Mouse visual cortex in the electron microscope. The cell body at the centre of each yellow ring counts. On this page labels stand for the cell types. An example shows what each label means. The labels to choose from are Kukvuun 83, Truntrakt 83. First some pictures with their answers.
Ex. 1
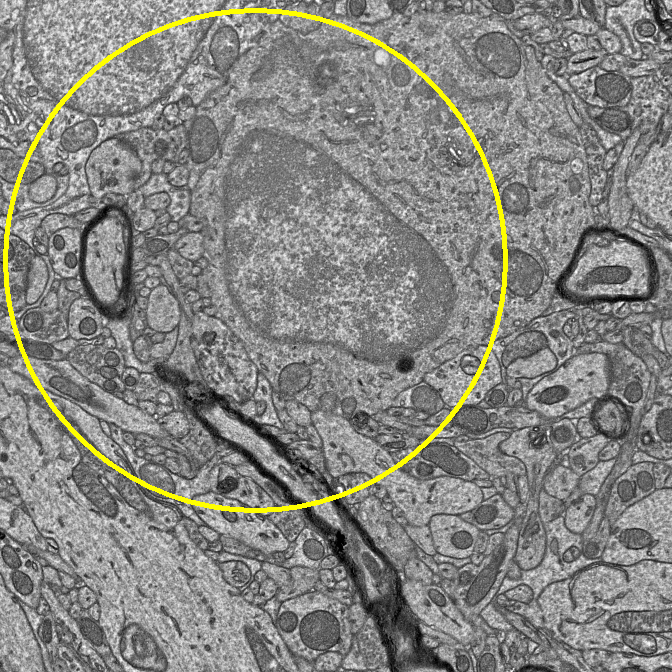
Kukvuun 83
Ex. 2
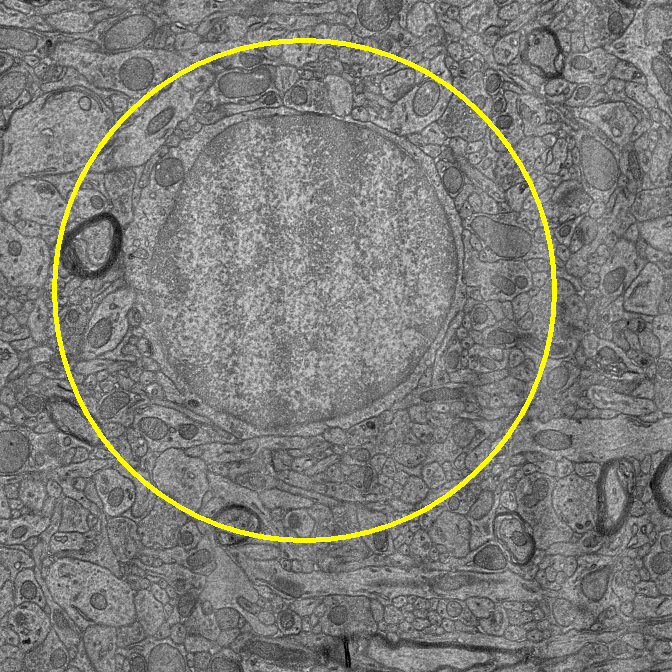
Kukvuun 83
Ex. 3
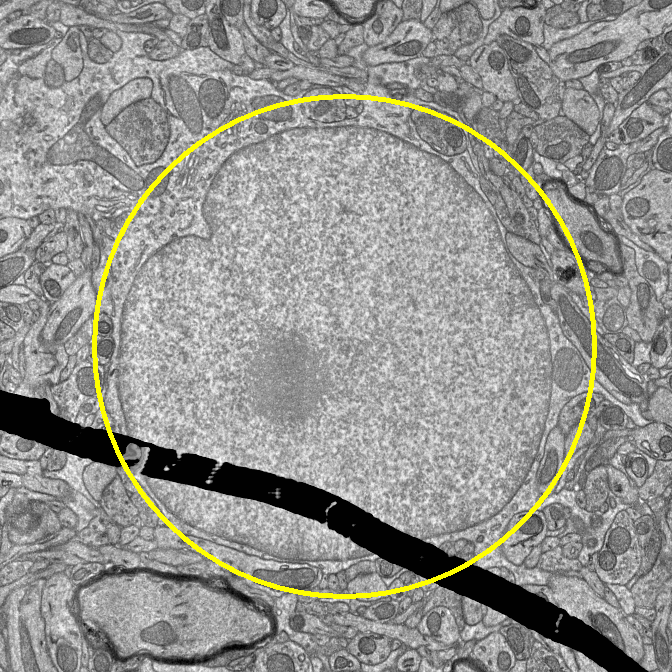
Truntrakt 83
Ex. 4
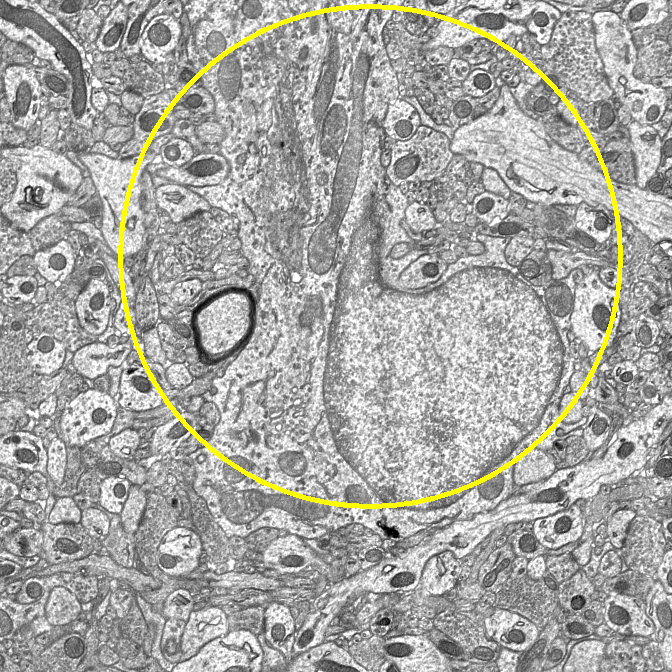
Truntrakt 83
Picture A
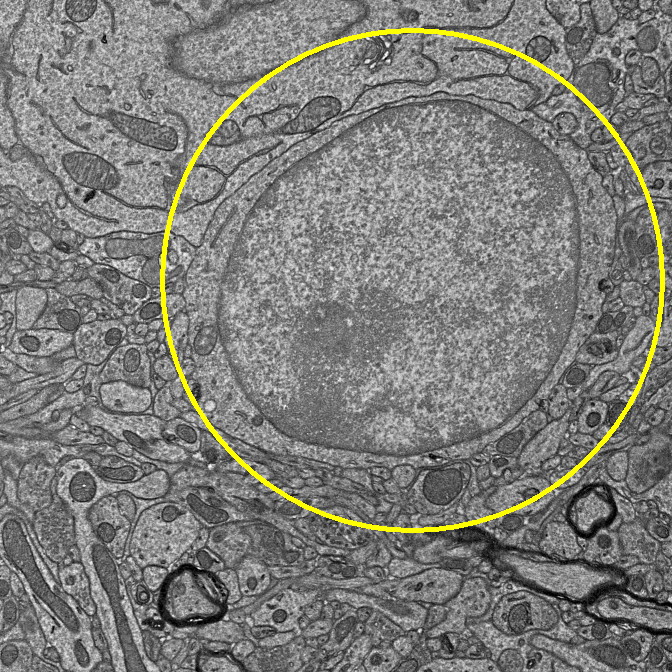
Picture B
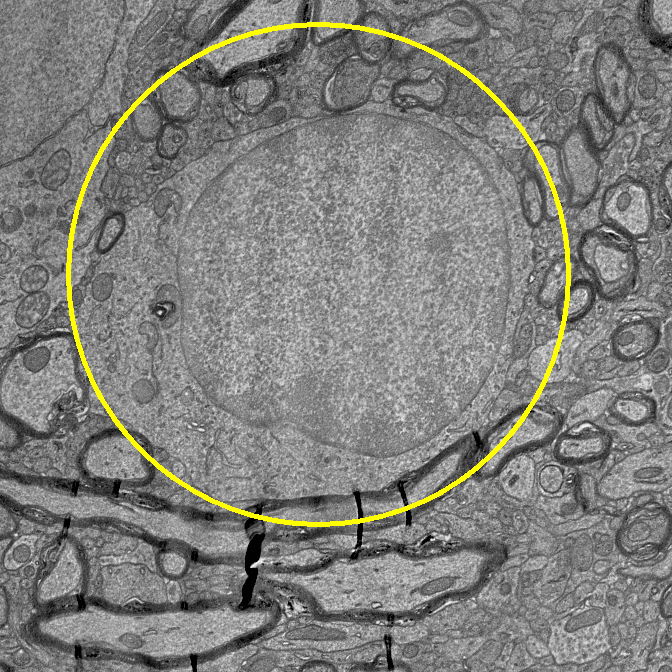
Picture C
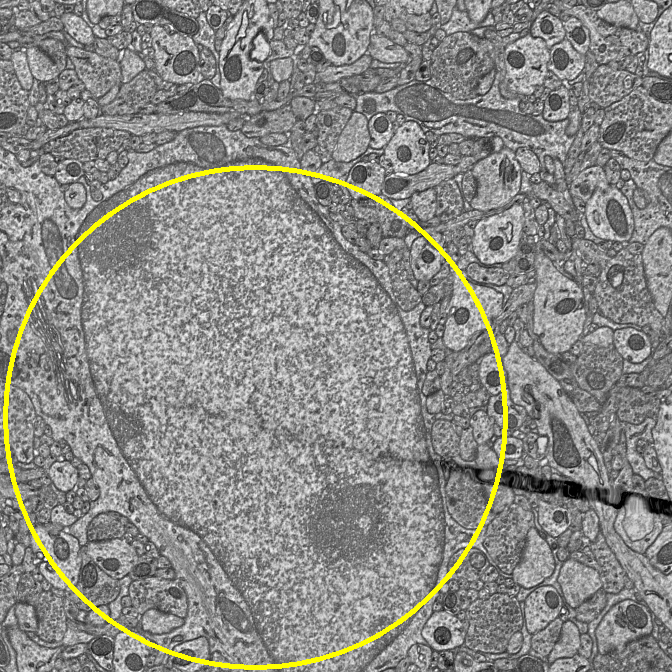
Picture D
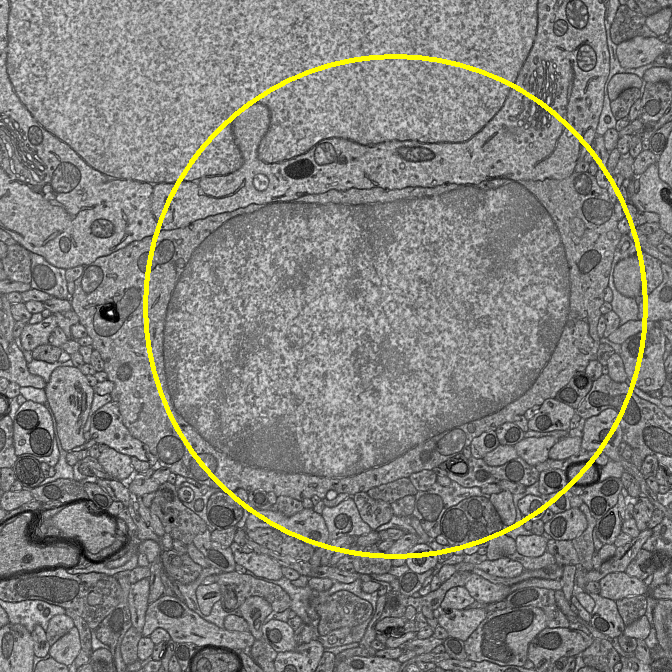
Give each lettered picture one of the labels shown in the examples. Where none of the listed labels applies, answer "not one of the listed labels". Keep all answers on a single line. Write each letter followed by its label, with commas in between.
A Kukvuun 83, B Kukvuun 83, C Truntrakt 83, D Kukvuun 83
